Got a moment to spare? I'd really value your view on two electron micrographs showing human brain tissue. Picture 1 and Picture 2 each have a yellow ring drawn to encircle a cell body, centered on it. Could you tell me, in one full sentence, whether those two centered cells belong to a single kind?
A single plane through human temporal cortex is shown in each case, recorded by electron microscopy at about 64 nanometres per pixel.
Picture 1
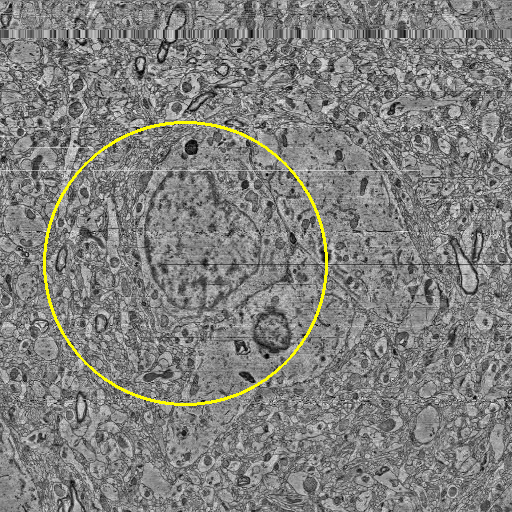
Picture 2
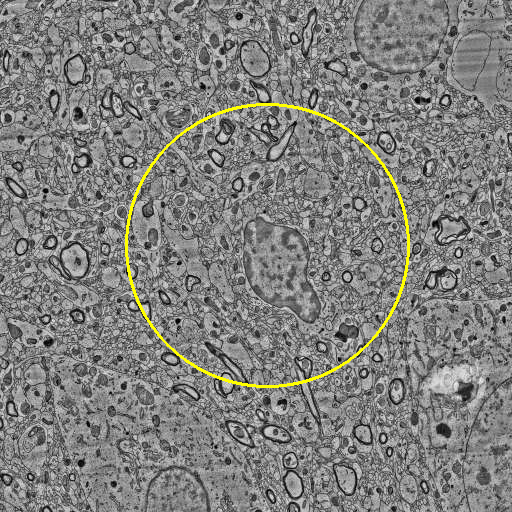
No, the two centered cells in Picture 1 and Picture 2 are of two kinds.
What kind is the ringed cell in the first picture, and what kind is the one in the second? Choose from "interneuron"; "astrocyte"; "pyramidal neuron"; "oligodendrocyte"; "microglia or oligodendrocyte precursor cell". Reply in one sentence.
The first cell is an interneuron; the second is a microglial cell or oligodendrocyte precursor cell.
